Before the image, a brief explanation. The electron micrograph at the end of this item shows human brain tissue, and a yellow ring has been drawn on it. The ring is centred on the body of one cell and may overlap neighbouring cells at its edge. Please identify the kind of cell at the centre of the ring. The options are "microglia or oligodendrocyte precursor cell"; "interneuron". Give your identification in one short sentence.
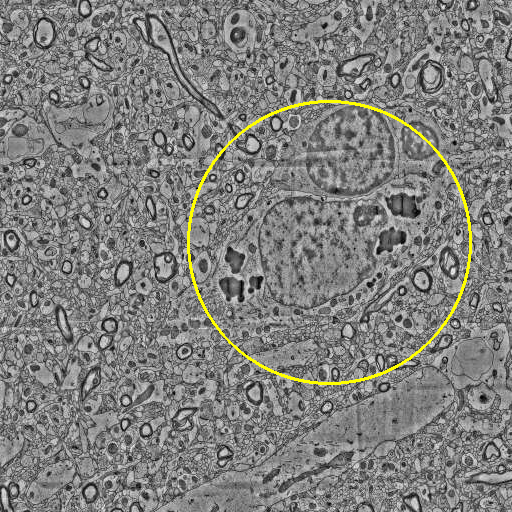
The ring has been placed around an interneuron.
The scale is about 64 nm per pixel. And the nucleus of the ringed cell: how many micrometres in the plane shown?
About 9 by 7 micrometers, in this plane.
